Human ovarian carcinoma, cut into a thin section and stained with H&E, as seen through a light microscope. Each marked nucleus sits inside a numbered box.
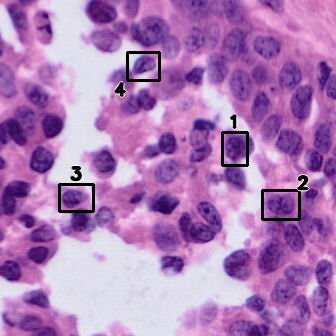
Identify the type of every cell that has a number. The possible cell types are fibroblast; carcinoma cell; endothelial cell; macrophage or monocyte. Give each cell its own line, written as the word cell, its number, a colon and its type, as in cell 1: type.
cell 1: carcinoma cell
cell 2: carcinoma cell
cell 3: macrophage or monocyte
cell 4: carcinoma cell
